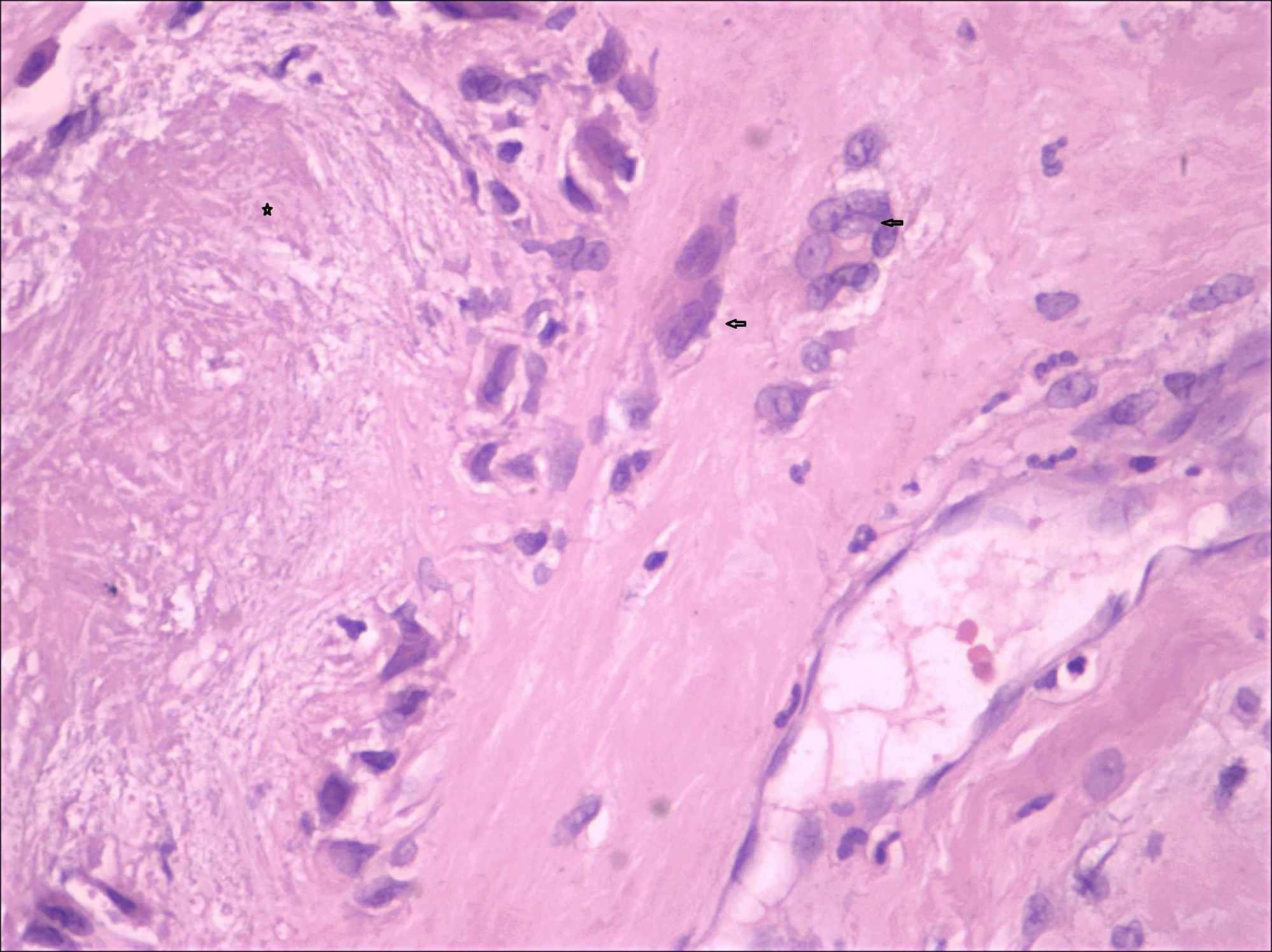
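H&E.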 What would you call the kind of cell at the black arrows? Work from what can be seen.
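Each marked cell holds several oval nuclei in one shared pink cytoplasm. The nuclei are clustered together within a cell much larger than its neighbours.
Multinucleated giant cells.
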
